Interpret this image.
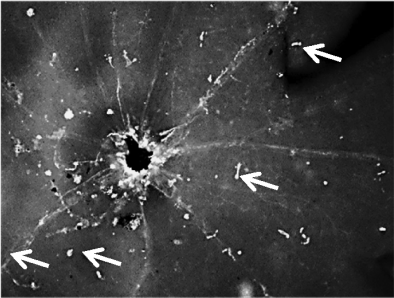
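Blood vessels radiate from a dark central disc toward the periphery. Small bright cells, many elongated or irregular in outline, lie along the vessels and in the tissue between them, gathered most densely around the central disc.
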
